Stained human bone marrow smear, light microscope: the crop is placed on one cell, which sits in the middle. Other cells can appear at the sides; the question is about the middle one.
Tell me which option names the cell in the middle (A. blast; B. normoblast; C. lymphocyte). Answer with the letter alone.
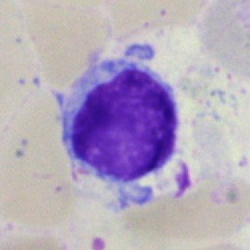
C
